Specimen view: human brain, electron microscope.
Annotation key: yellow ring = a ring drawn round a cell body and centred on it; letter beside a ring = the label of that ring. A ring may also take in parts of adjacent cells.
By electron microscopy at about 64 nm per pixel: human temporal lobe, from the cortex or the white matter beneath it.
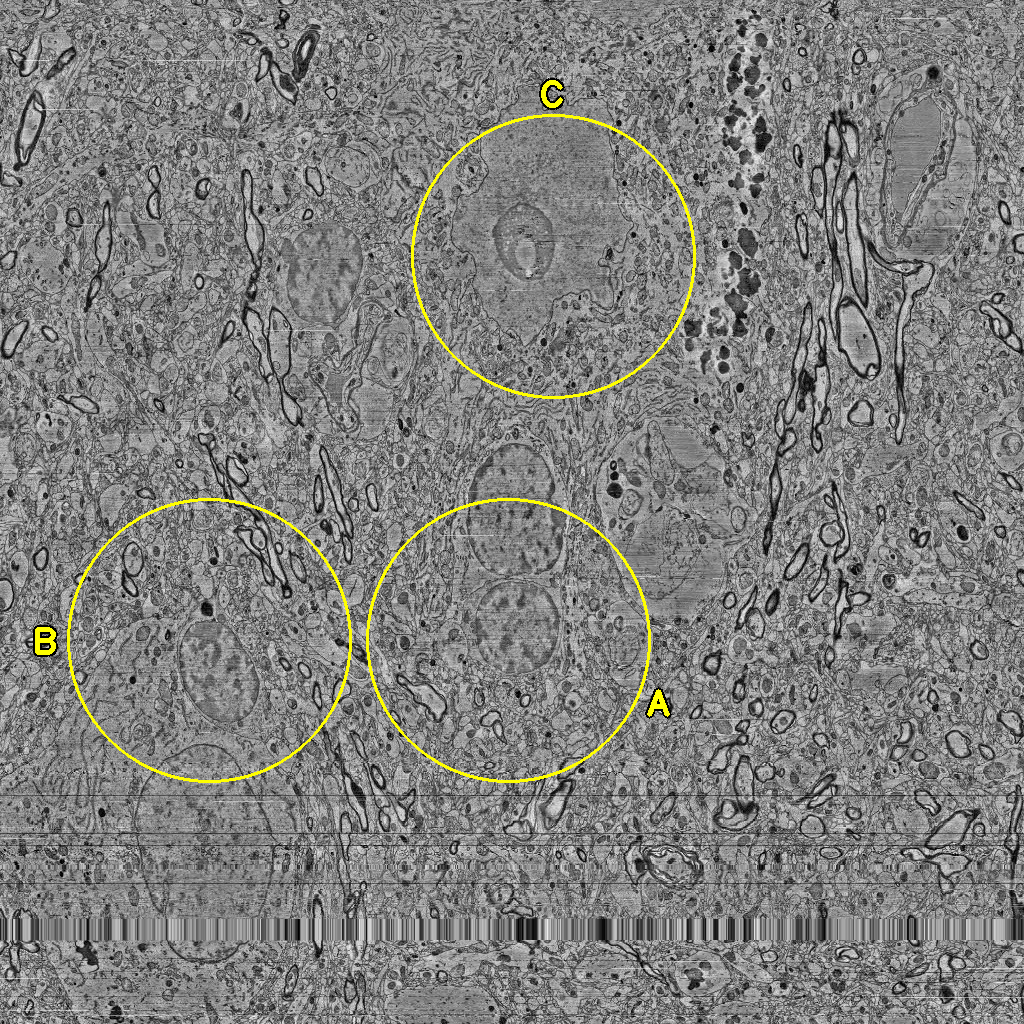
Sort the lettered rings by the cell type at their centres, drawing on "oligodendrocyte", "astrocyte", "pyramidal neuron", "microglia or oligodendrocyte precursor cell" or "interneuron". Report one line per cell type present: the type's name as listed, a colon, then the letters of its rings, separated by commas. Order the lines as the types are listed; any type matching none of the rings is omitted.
oligodendrocyte: A, B
pyramidal neuron: C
